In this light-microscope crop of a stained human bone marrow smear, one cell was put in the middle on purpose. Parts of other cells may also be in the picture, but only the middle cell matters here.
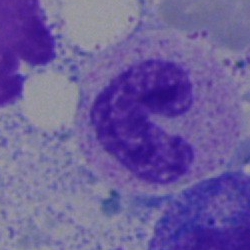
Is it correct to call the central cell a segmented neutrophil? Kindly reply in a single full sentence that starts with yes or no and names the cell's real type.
No, the middle cell is not a segmented neutrophil, it being a band neutrophil.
